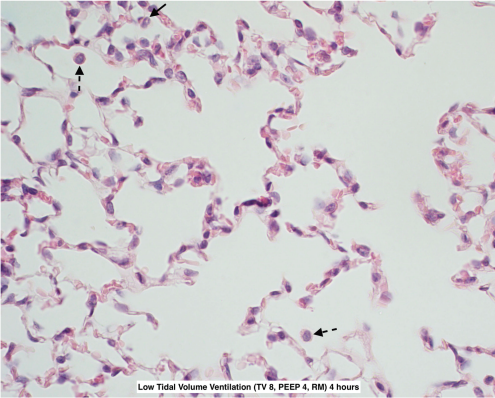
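This is lung tissue with thin alveolar walls enclosing wide, clear airspaces. The septa are delicate, pink, and lined by cells with dark purple, flattened or oval nuclei. A few single rounded cells, macrophages, lie free within the airspaces, each with a round nucleus and a rim of cytoplasm. The airspaces otherwise contain no pink material. The overall architecture of the alveoli is preserved.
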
